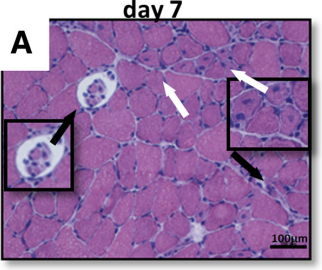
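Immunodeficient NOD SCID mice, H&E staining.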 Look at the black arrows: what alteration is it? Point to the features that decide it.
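Several dark nuclei lie within the pale marked fiber.
Answer: Necrotic muscle fibers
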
